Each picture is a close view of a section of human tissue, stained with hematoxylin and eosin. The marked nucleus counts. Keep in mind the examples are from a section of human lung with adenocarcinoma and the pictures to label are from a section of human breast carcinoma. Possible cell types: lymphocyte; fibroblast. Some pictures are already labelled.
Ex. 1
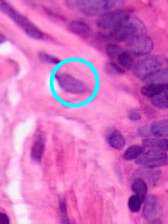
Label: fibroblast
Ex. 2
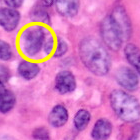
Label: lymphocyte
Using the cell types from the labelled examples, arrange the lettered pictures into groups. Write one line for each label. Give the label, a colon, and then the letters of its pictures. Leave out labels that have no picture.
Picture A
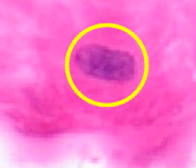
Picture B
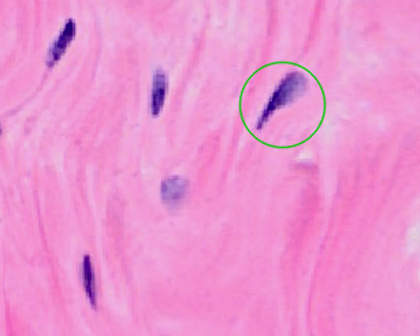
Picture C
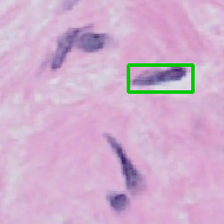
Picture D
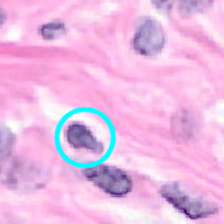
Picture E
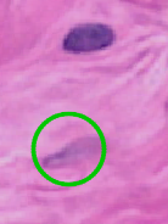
lymphocyte: D
fibroblast: A, B, C, E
